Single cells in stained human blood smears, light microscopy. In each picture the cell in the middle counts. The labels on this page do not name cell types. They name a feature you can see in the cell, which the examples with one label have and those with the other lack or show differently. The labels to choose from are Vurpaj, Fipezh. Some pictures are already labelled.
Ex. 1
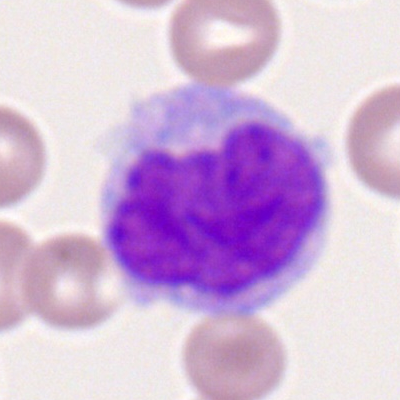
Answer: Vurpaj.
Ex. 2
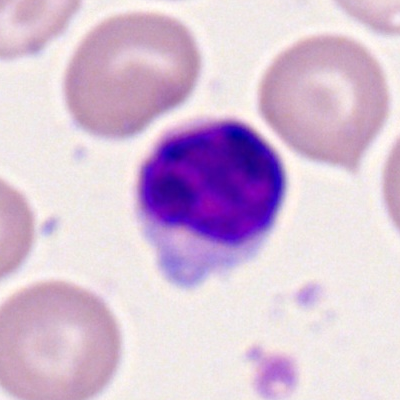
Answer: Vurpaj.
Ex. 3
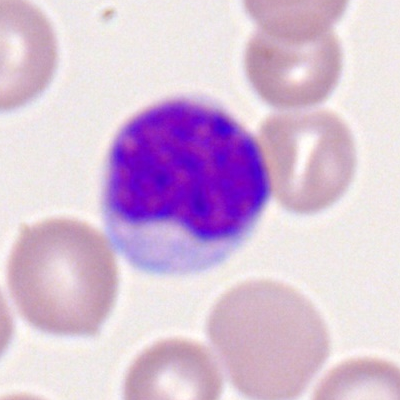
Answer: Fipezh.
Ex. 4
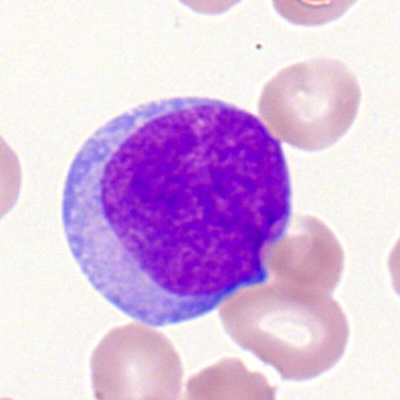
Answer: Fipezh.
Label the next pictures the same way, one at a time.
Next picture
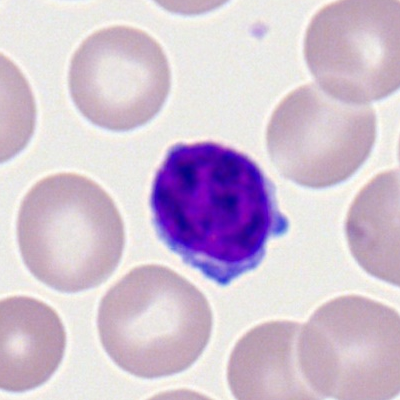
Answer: Vurpaj.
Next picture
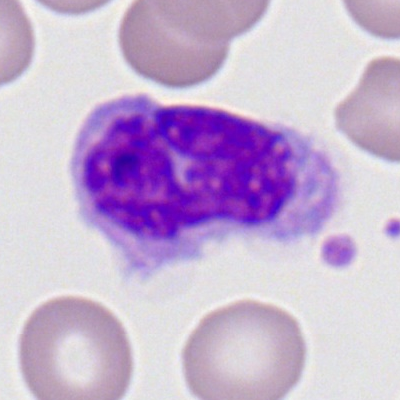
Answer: Vurpaj.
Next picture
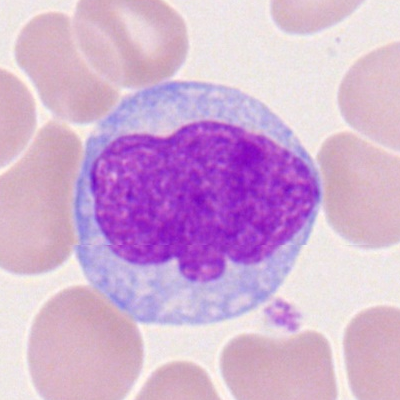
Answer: Fipezh.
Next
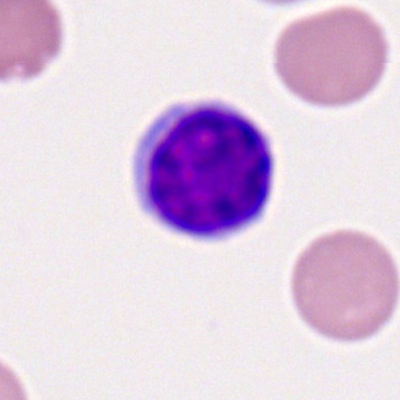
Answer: Fipezh.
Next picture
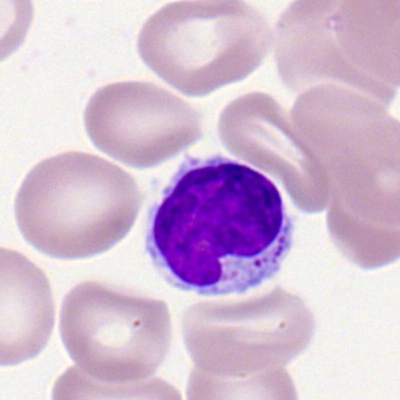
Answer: Vurpaj.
